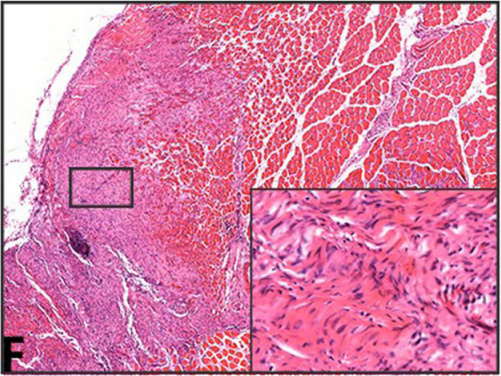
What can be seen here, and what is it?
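A large region of fibrous connective tissue occupies much of the field, next to residual bundles of pink skeletal muscle fibers at the right. In the inset, wavy pink fibers run in interlacing directions, with many elongated spindle-shaped purple nuclei scattered among them.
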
